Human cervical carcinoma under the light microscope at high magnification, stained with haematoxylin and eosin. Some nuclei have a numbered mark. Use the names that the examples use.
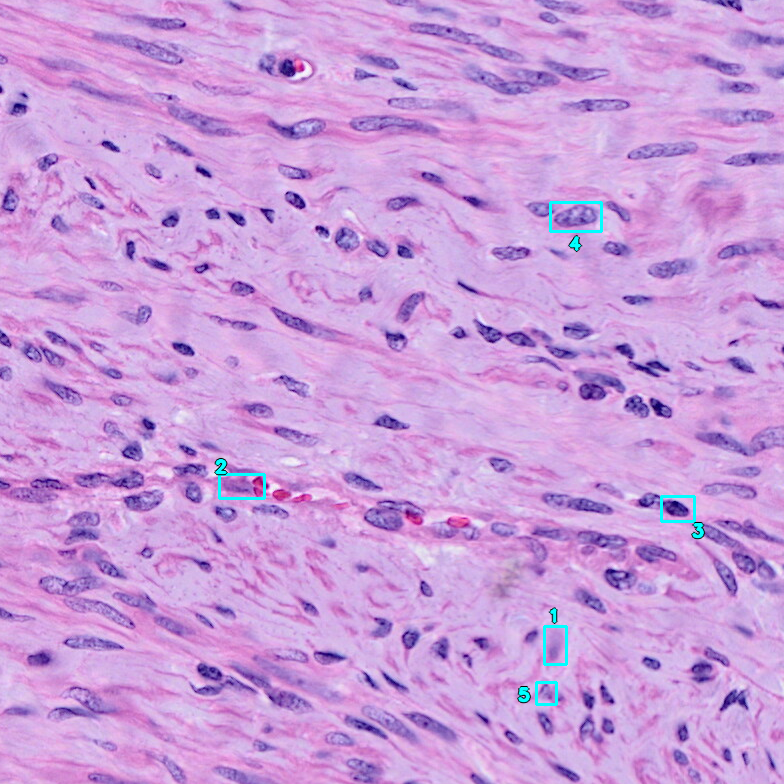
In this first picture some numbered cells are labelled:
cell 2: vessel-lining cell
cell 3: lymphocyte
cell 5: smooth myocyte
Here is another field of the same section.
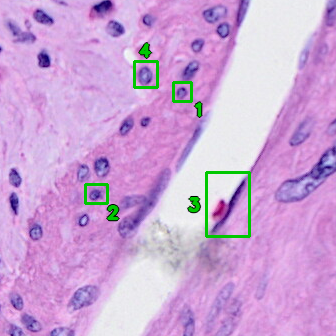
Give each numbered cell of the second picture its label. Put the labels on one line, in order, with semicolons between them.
smooth myocyte; smooth myocyte; vessel-lining cell; smooth myocyte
